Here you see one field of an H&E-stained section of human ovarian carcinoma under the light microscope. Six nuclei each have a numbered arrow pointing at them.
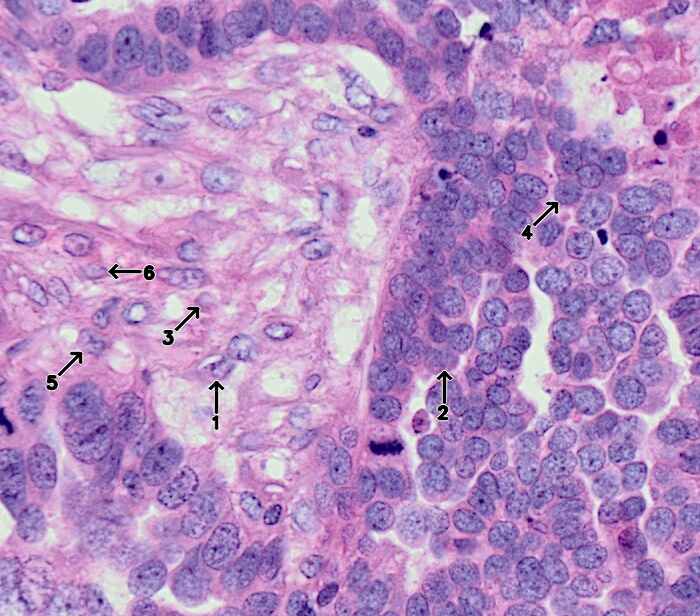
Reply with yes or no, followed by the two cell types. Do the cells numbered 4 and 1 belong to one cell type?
No, cell 4 is recognized as a carcinoma cell, and cell 1 as a fibroblast.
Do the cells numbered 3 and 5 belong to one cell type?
Yes: cells 3 and 5 are both fibroblasts.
